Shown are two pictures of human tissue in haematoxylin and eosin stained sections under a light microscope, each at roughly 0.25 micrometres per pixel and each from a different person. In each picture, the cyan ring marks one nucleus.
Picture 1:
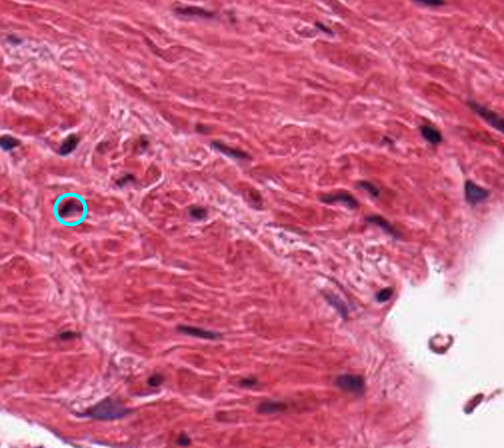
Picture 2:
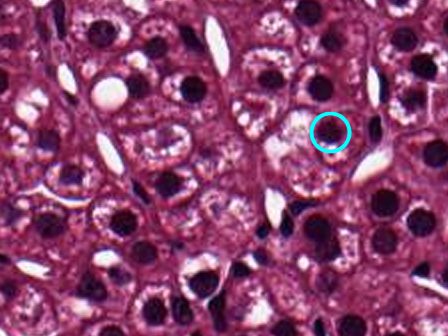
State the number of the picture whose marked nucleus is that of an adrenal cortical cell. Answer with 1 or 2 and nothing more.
2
